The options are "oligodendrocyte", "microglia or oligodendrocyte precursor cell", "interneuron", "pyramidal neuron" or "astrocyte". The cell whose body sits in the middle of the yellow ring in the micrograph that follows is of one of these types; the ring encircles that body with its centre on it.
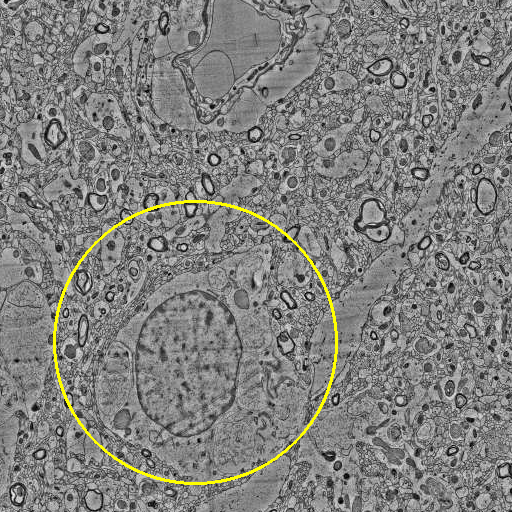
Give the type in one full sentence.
Going by the micrograph, the cell centred in the yellow ring is an astrocyte.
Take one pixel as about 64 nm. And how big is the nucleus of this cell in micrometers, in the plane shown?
In this plane the nucleus spans approximately 9 by 7 micrometers.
